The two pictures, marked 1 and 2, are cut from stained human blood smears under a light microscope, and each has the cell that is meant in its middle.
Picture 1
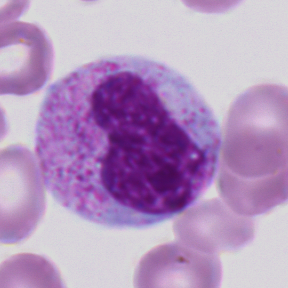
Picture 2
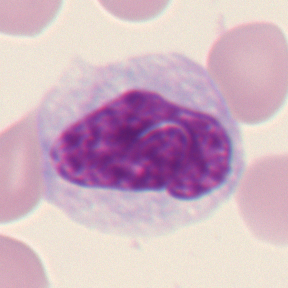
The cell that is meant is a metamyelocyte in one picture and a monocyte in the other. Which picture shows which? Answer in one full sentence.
Picture 1 is of a metamyelocyte, and picture 2 is of a monocyte.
